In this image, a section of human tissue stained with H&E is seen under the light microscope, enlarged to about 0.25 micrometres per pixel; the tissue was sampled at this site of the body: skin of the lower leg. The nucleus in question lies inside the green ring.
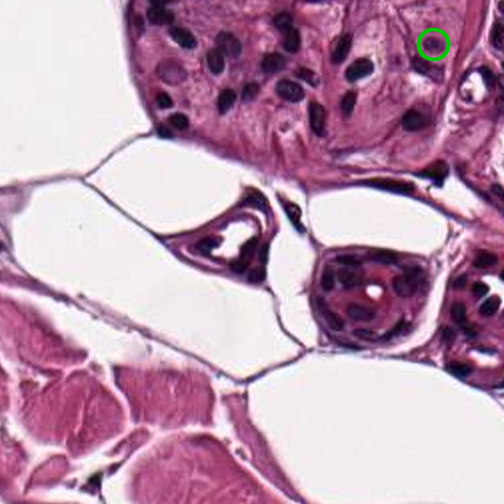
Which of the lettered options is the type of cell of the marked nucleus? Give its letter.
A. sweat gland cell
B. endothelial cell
A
